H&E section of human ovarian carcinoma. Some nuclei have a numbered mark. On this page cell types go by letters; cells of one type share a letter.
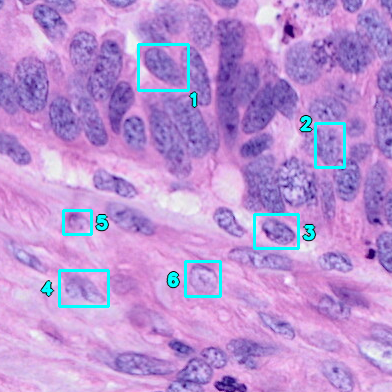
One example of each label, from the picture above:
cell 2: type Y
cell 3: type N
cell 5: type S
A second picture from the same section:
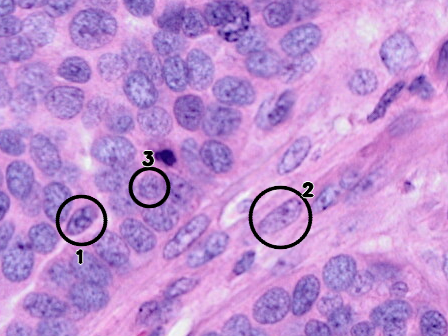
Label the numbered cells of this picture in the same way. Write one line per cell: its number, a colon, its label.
1: type N
2: type S
3: type Y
